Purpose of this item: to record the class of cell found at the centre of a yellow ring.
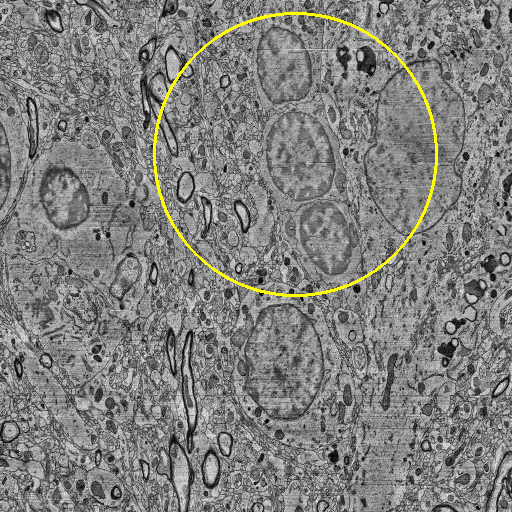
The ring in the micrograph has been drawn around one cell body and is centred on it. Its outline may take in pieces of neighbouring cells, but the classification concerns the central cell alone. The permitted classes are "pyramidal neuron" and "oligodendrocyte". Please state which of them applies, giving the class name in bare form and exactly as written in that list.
oligodendrocyte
